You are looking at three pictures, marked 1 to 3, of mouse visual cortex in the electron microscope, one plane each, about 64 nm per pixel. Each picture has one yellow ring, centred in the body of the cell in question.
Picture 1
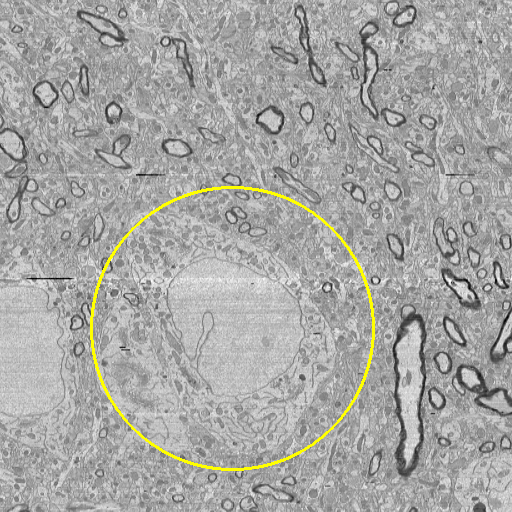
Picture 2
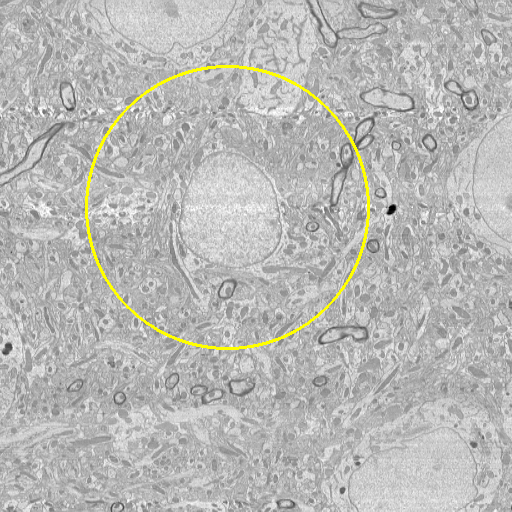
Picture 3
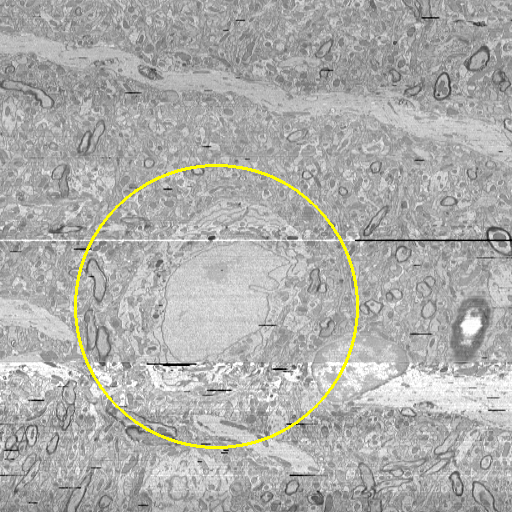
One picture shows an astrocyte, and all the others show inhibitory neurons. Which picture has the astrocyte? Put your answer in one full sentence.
The cell in picture 2 is the astrocyte.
